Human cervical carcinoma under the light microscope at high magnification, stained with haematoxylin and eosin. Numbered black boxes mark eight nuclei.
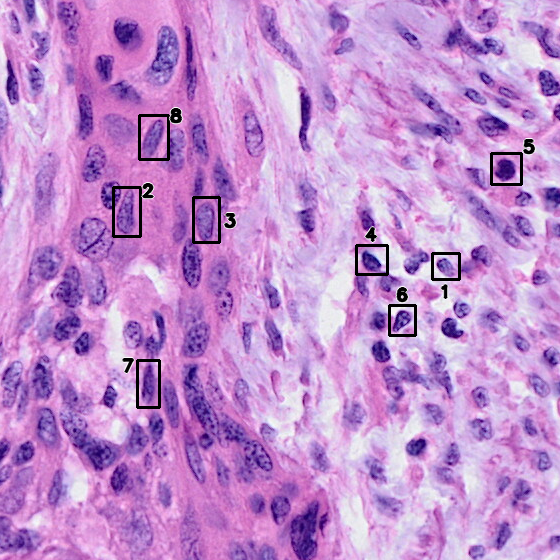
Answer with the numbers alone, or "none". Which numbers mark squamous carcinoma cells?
2, 3, 7, 8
